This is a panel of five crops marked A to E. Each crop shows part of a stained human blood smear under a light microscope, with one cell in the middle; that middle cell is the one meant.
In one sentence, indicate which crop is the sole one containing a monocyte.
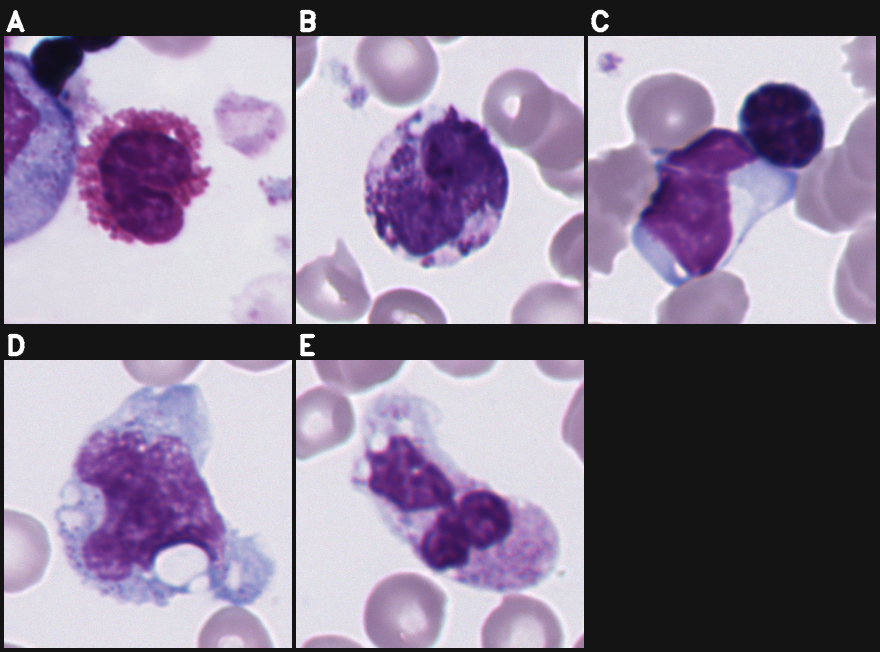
Of the cells presented, the one in crop D is a monocyte.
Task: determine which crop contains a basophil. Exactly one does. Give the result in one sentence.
Among the crops given, only crop B shows a basophil.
